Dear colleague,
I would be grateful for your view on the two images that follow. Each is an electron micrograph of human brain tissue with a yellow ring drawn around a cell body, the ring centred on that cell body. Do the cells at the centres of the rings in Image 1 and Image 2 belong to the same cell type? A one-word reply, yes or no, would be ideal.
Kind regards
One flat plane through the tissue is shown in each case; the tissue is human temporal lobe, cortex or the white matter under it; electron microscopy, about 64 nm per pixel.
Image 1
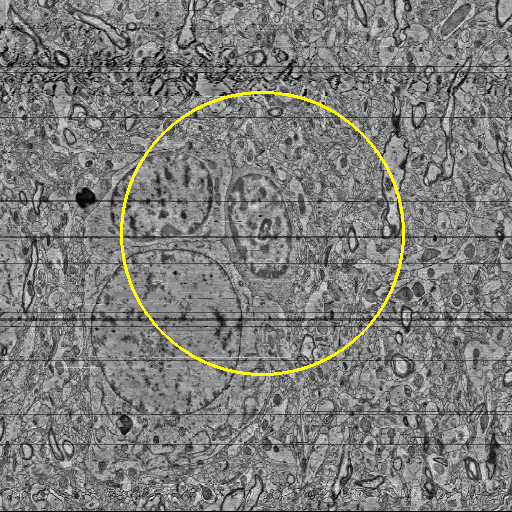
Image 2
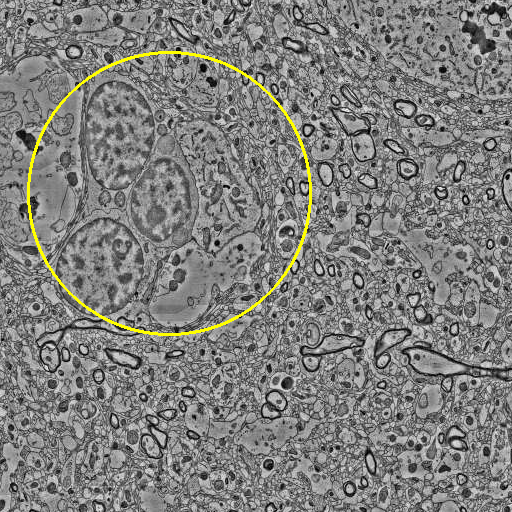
yes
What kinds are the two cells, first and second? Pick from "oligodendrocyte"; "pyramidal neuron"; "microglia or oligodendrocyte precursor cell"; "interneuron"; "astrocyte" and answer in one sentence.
In each picture the ringed cell is an oligodendrocyte.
